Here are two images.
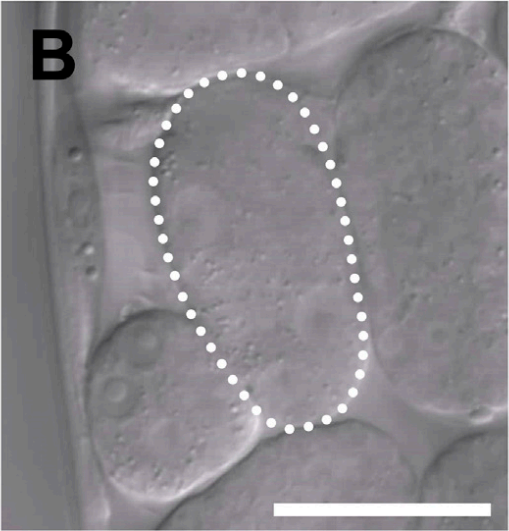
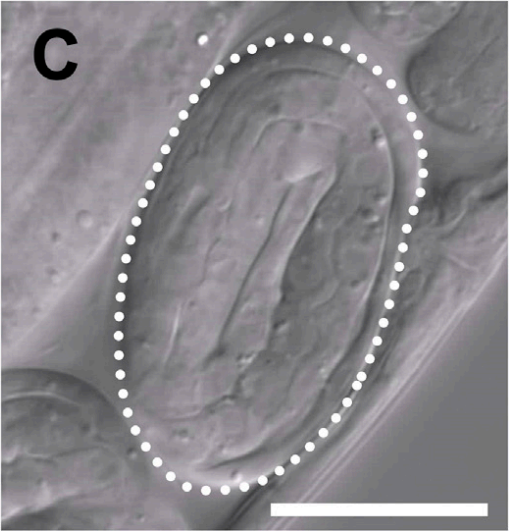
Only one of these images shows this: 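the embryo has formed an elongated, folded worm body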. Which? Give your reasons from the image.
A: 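Second image: an elongated body folded several times lies within the eggshell. On this evidence: the second image.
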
